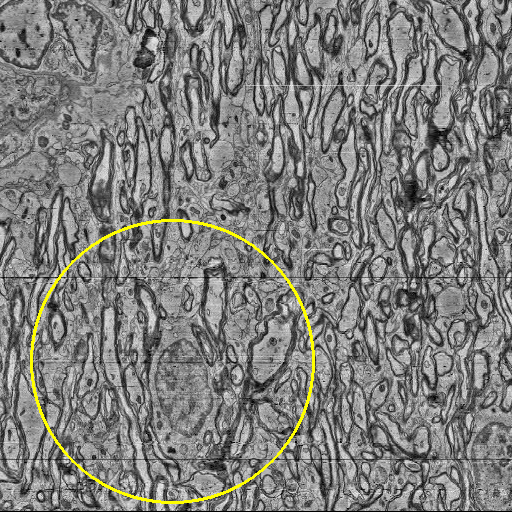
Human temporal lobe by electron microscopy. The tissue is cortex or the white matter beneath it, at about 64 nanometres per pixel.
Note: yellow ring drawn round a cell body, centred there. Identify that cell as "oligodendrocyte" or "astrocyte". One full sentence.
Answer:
The cell in the middle of the ring is an oligodendrocyte.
